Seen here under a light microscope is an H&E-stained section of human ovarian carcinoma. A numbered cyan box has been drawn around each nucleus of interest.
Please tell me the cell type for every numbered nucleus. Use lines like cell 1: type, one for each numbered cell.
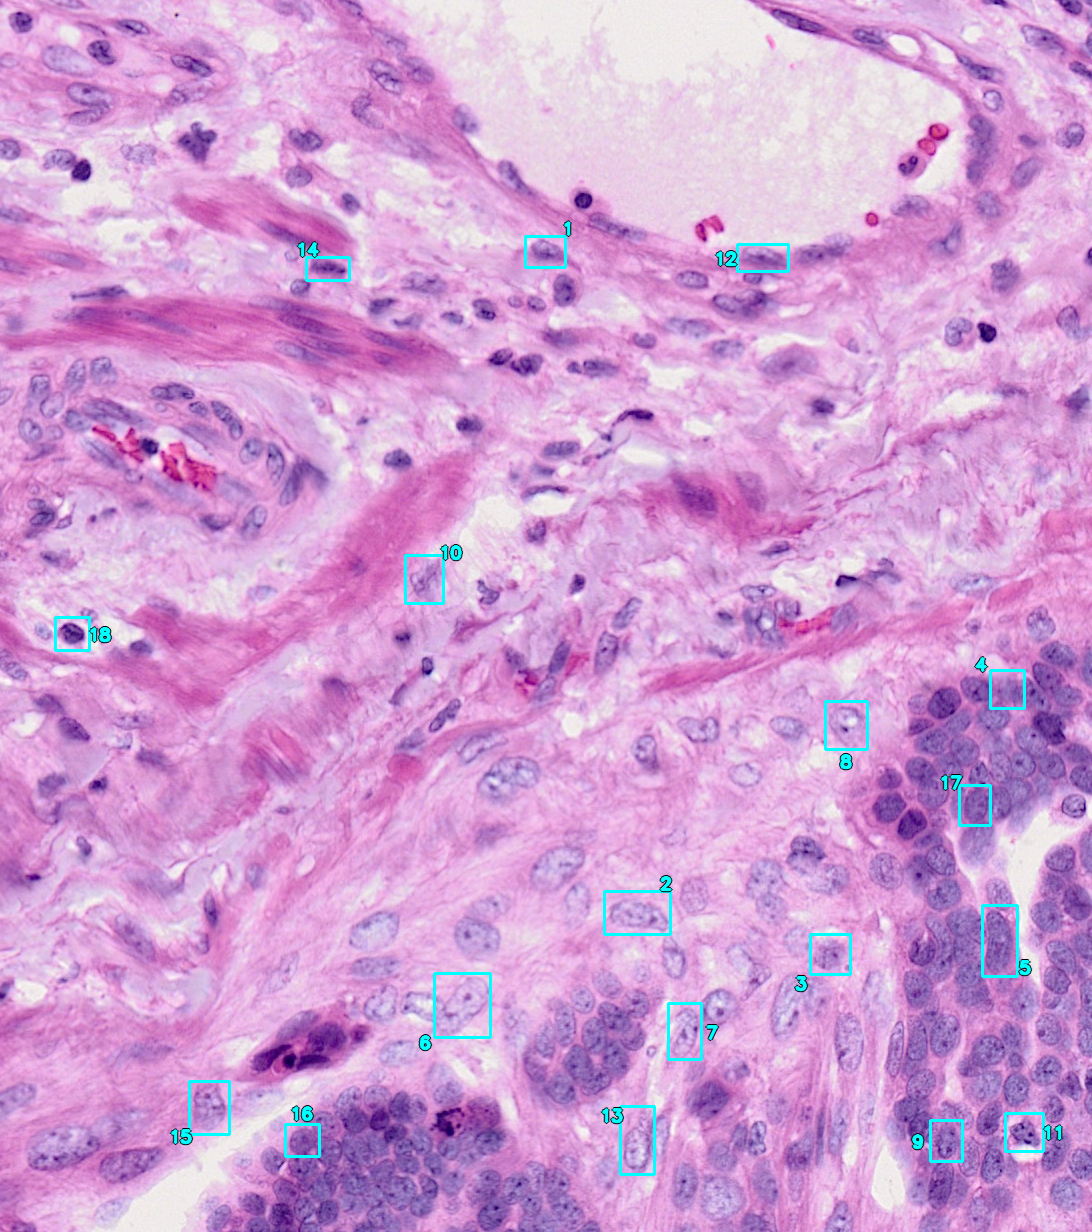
cell 1: fibroblast
cell 2: fibroblast
cell 3: fibroblast
cell 4: carcinoma cell
cell 5: carcinoma cell
cell 6: fibroblast
cell 7: fibroblast
cell 8: fibroblast
cell 9: carcinoma cell
cell 10: fibroblast
cell 11: macrophage or monocyte
cell 12: endothelial cell
cell 13: fibroblast
cell 14: macrophage or monocyte
cell 15: fibroblast
cell 16: carcinoma cell
cell 17: carcinoma cell
cell 18: lymphocyte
